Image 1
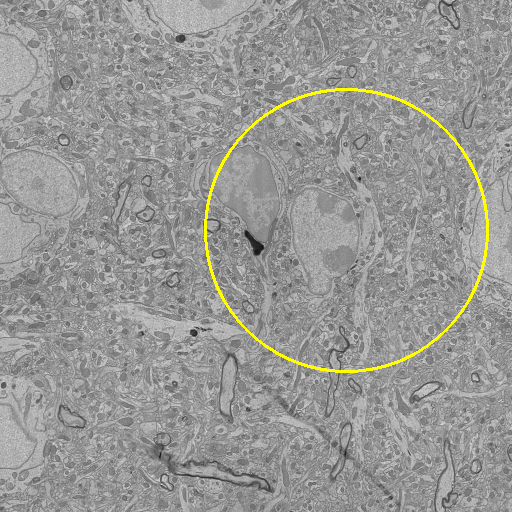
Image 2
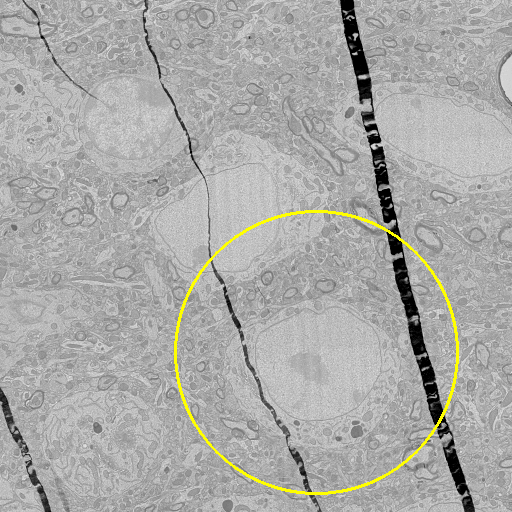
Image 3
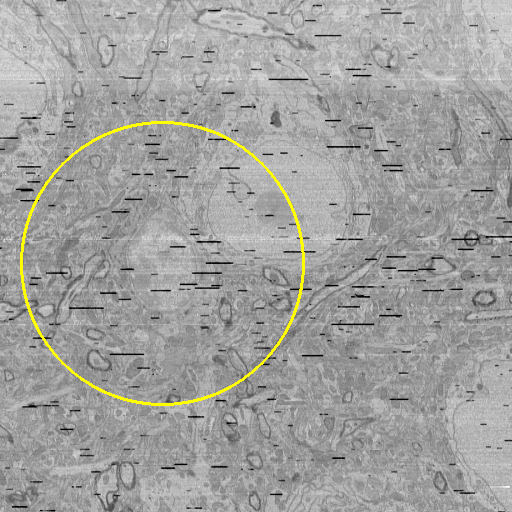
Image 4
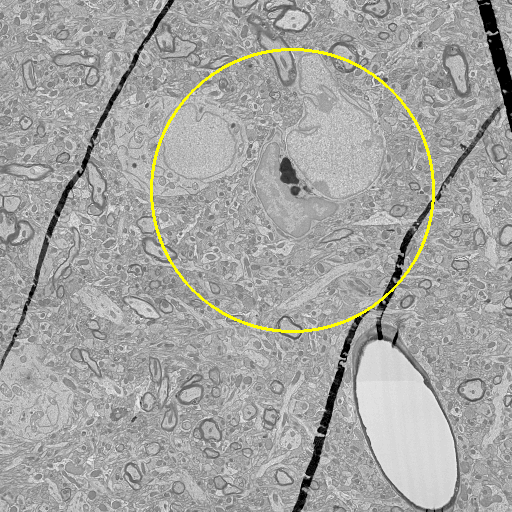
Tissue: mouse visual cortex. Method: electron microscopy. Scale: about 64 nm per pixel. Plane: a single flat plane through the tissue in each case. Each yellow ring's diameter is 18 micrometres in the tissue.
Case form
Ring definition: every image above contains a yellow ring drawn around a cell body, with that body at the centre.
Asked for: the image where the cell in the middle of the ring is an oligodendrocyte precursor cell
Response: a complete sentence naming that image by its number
Image 1 is the one.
